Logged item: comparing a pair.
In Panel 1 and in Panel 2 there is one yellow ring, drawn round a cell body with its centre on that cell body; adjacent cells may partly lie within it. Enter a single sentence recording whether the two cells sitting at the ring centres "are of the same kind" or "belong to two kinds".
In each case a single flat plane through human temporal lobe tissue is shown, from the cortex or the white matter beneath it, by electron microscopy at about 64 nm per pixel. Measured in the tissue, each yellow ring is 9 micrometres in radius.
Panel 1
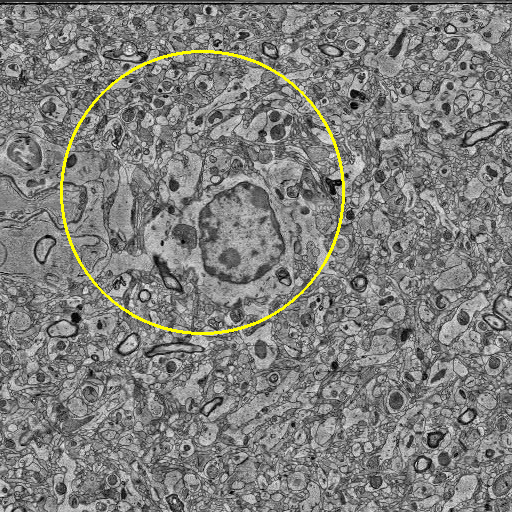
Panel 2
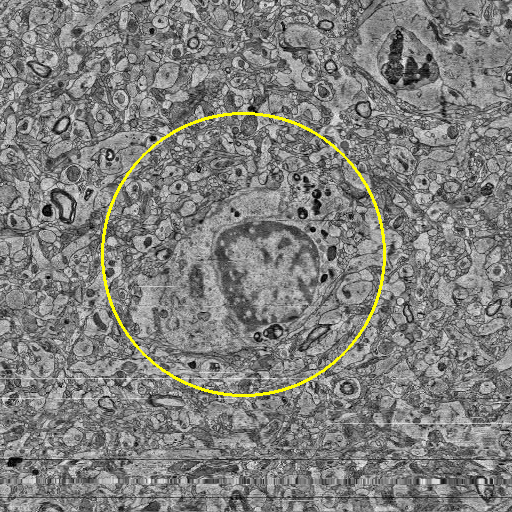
Logged: the cells centred in the rings of Panel 1 and Panel 2 are of the same kind.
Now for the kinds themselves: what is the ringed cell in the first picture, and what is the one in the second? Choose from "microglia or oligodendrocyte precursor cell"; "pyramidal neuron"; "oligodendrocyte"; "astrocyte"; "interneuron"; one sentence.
The cell at the ring centre is a microglial cell or oligodendrocyte precursor cell in both pictures.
